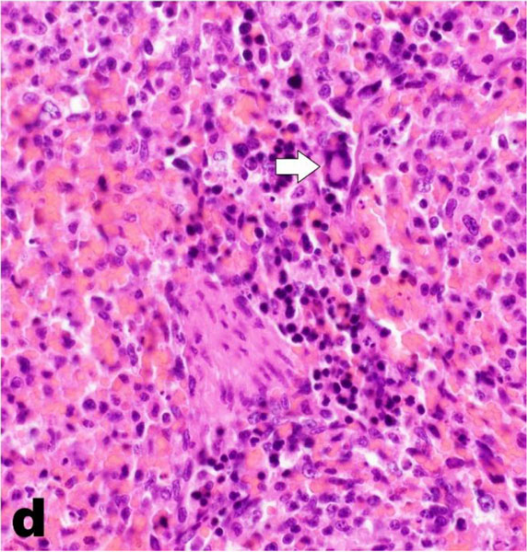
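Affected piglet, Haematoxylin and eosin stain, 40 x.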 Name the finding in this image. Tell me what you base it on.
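Clusters of small cells with dark round nuclei among red-cell-filled tissue. A large cell with a lobed nucleus among them.
Conclusion: Extramedullar haematopoiesis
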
